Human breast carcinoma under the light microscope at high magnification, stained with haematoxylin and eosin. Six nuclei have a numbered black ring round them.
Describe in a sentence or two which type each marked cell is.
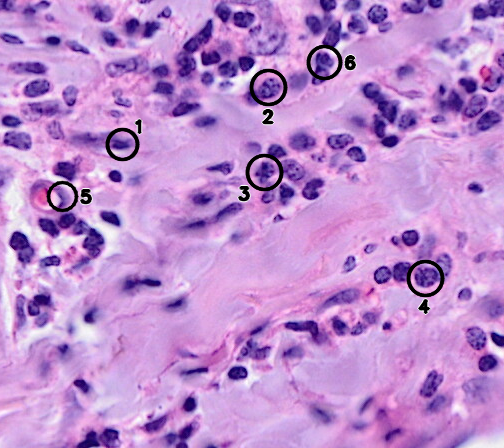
Cell 1 is a lymphocyte, cell 2 is a mast cell, cell 3 is a lymphocyte, cell 4 is a lymphocyte, cell 5 is an endothelial cell and cell 6 is a lymphocyte.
